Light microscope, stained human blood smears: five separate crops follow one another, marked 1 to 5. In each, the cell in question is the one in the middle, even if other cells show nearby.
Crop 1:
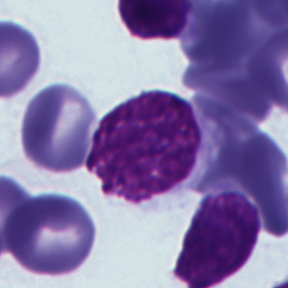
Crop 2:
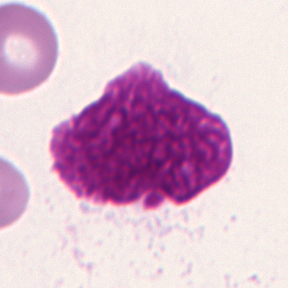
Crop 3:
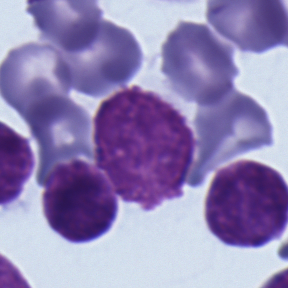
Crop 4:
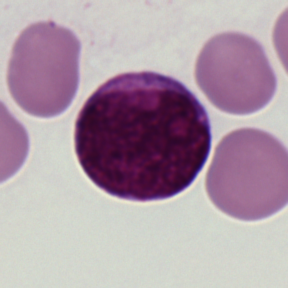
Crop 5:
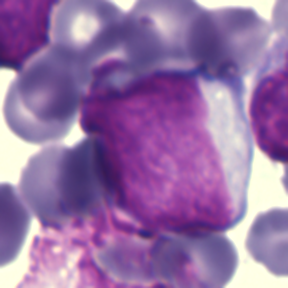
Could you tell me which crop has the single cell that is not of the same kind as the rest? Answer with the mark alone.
2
